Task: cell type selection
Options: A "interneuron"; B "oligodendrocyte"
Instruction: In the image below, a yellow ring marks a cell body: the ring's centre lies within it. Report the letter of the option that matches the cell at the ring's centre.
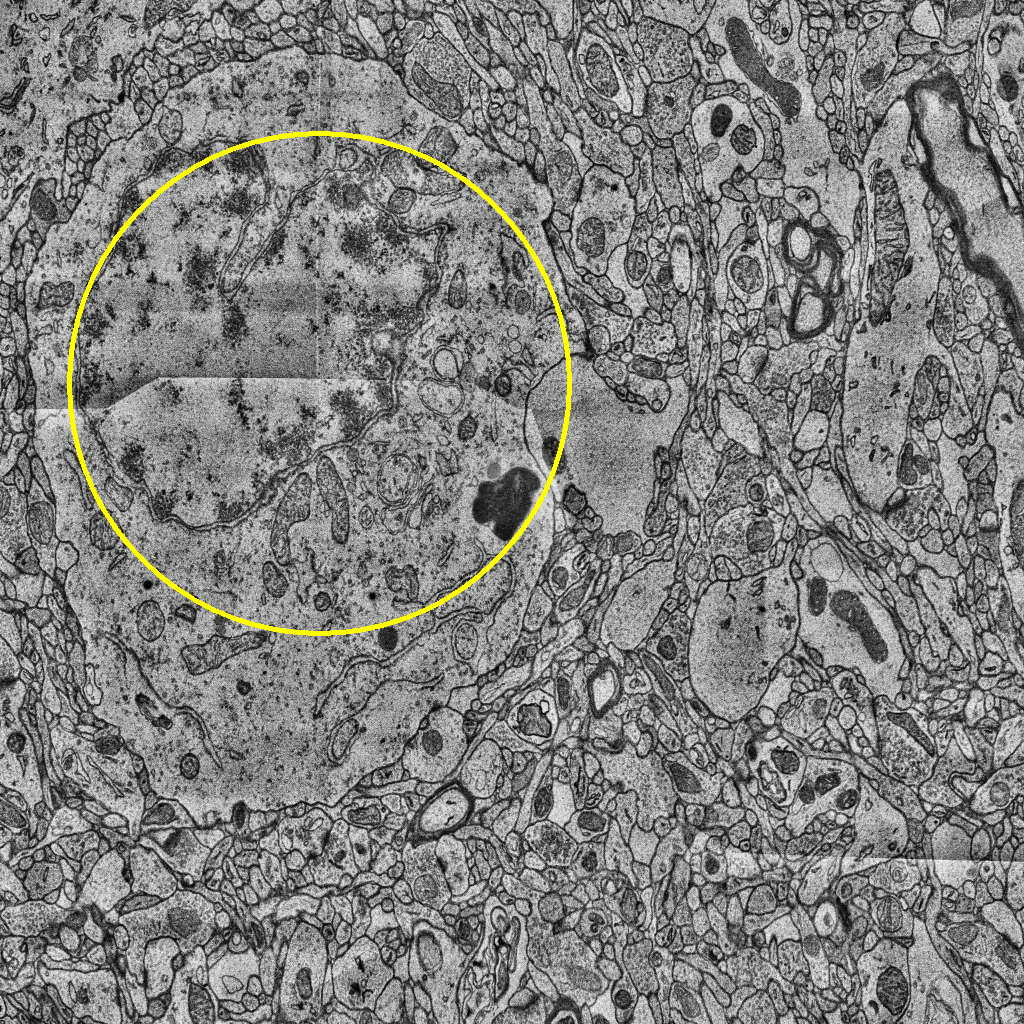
A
